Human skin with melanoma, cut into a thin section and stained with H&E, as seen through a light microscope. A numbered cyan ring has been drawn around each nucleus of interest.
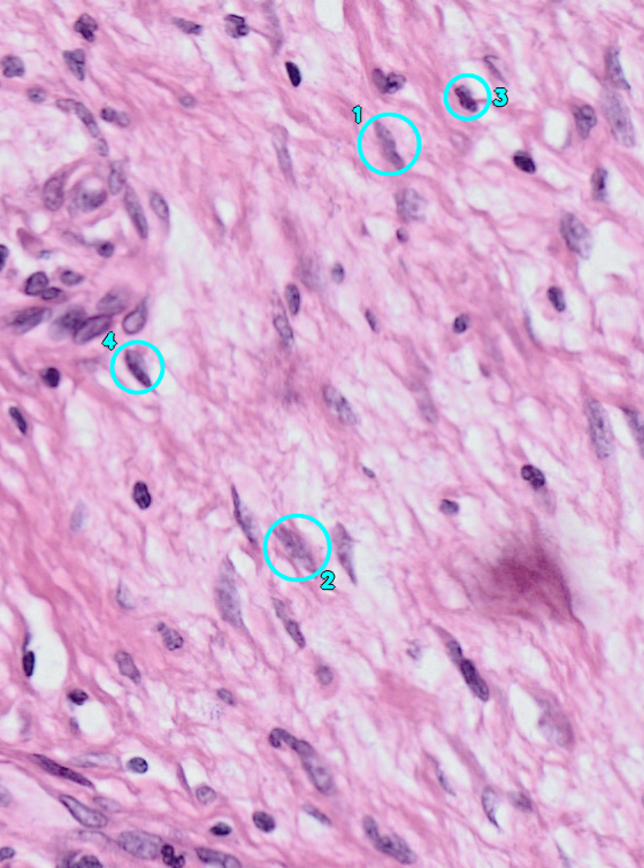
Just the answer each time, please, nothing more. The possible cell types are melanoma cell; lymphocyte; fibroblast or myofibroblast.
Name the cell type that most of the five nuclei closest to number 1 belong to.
lymphocyte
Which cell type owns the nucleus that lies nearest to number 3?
fibroblast or myofibroblast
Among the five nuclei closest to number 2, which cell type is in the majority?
fibroblast or myofibroblast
